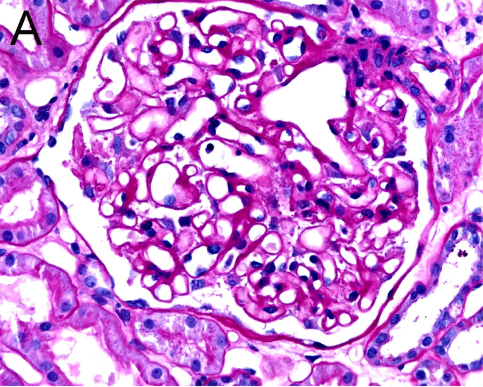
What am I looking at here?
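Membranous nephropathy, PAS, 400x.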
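A kidney glomerulus is shown with its capillary tuft outlined by magenta-stained capillary walls that look rigid and prominent. The capillary lumens are open and mostly empty, with scattered nuclei between the loops. A clear space separates the tuft from the thin magenta outer capsule, and tubules with pale pink cytoplasm and round nuclei lie around it.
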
